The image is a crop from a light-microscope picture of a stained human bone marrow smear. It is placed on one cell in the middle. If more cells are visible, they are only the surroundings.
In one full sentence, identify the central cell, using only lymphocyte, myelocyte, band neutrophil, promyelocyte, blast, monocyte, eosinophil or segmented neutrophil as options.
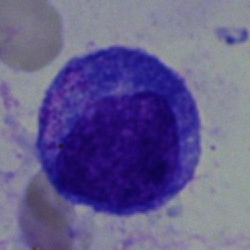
Within this crop, a promyelocyte occupies the central position.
